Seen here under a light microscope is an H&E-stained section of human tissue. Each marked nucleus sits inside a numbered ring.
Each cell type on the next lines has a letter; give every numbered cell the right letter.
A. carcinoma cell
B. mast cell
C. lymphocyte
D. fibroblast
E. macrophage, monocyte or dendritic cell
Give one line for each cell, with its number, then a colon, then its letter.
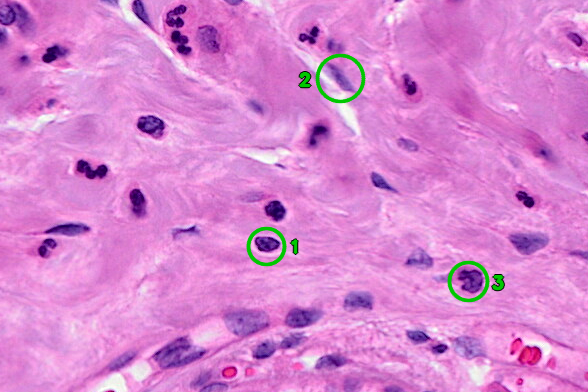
1: C
2: D
3: E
